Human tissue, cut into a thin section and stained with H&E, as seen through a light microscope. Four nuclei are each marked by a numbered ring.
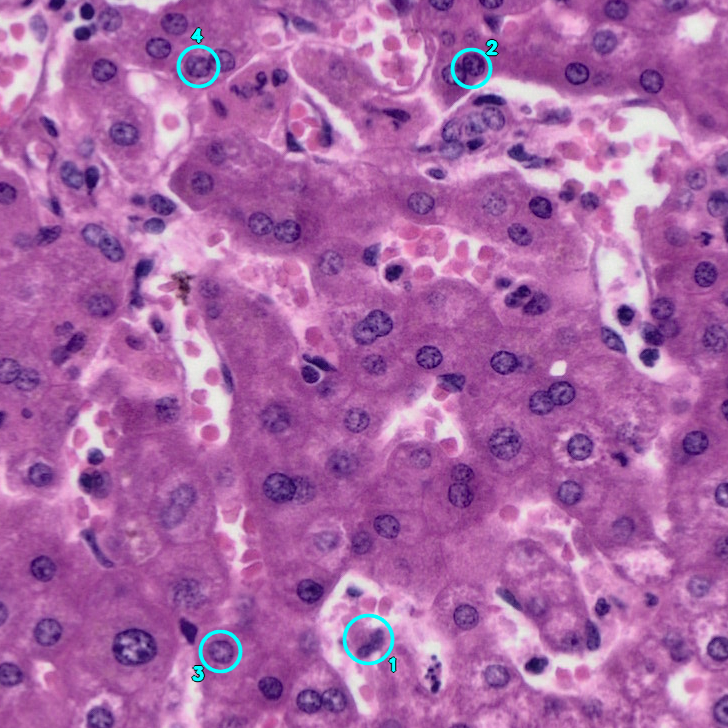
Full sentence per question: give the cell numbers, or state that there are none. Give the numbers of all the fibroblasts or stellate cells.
Not one numbered cell here is one of the fibroblasts or stellate cells.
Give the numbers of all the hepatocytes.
The cells with the numbers 2, 3 and 4 are hepatocytes.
